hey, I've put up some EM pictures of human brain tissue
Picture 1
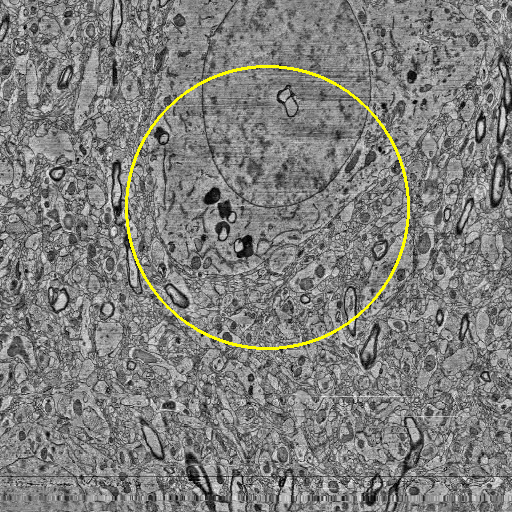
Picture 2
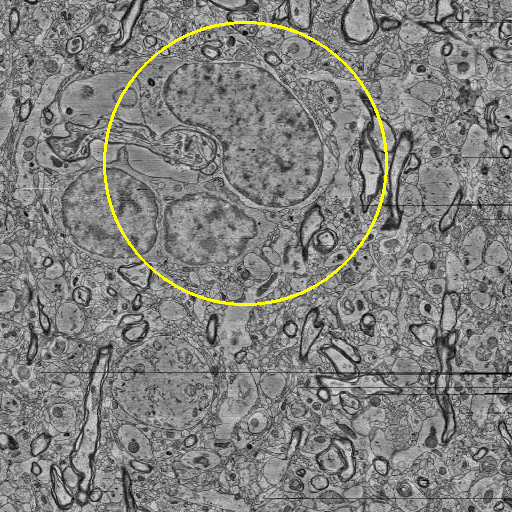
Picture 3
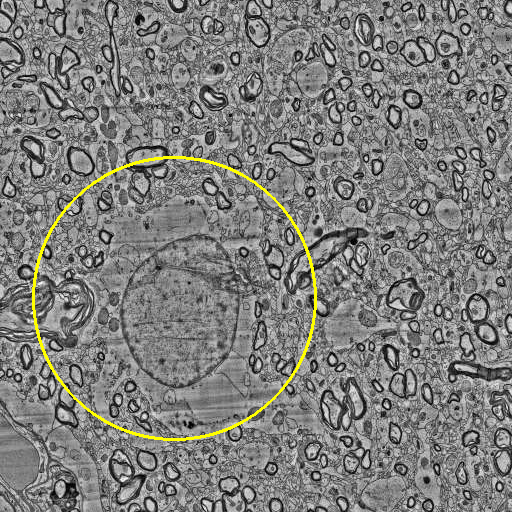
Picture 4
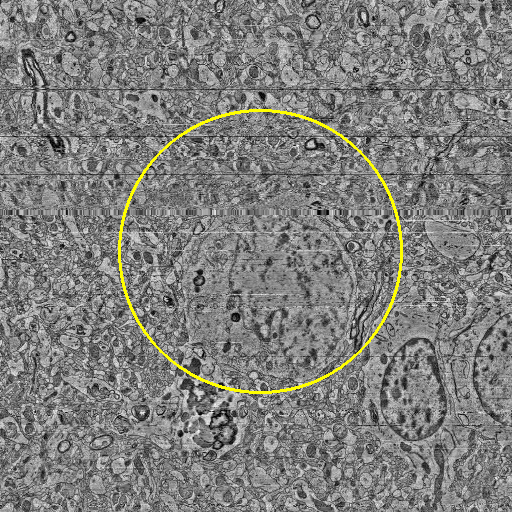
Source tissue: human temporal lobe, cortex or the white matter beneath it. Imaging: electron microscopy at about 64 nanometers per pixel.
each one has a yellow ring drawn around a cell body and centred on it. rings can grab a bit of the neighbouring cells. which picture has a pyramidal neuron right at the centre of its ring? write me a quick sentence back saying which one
It's Picture 1.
